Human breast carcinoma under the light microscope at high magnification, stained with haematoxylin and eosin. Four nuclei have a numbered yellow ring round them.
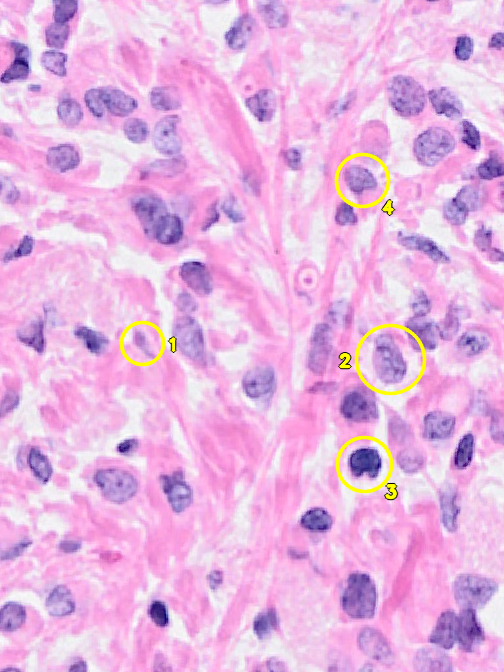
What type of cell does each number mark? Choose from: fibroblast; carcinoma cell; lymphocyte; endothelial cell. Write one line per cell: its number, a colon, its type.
1: fibroblast
2: carcinoma cell
3: lymphocyte
4: carcinoma cell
